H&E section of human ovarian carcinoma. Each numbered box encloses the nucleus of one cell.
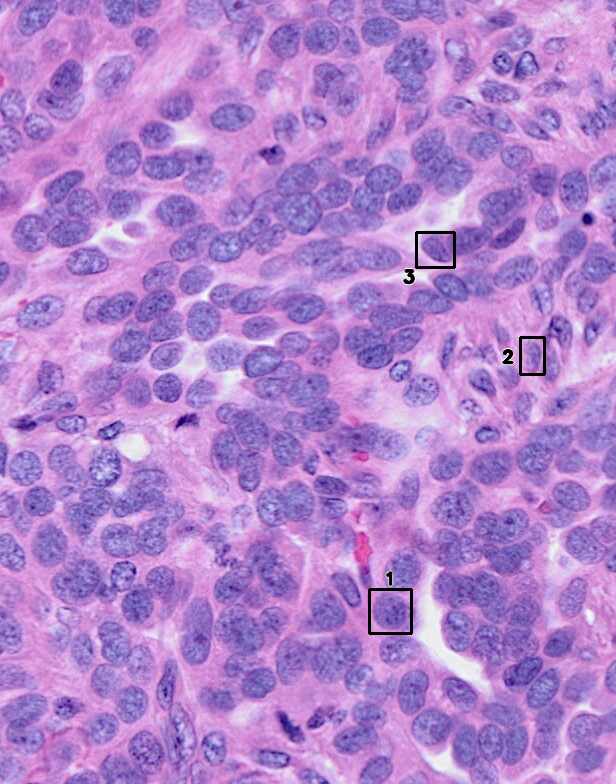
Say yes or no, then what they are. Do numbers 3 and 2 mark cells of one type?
No, cell 3 is a carcinoma cell, but cell 2 is a fibroblast.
